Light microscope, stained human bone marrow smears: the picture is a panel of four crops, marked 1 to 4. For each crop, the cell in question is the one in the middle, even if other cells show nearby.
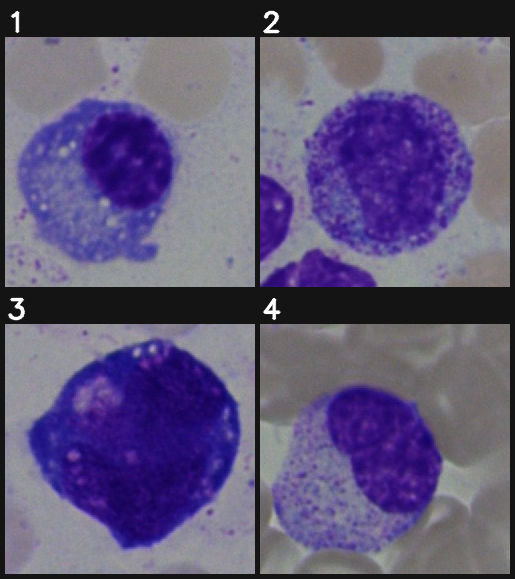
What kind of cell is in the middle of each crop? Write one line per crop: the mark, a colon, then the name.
1: plasma cell
2: myelocyte
3: blast
4: metamyelocyte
